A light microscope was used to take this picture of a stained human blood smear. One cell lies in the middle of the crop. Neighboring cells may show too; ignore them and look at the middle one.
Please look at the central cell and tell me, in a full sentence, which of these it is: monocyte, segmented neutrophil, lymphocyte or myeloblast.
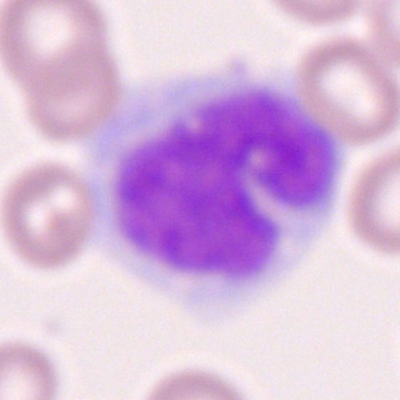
In this crop, the cell at the very middle is a monocyte.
